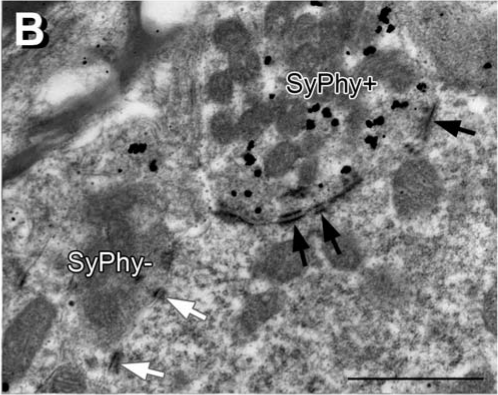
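This electron micrograph shows neuropil with presynaptic terminals filled with small synaptic vesicles and mitochondria. One terminal at the upper right carries many clusters of black gold particles over its vesicles, while another terminal at the left lies almost free of them. Dark, thickened membrane specializations mark synaptic contacts between the terminals and their postsynaptic partners.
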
